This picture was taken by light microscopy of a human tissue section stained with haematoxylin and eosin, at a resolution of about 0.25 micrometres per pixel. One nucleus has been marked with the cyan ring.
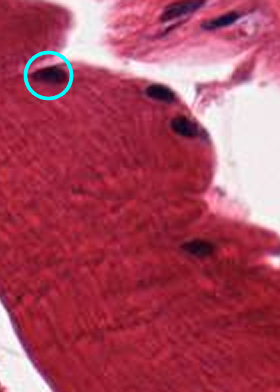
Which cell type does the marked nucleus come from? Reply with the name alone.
skeletal muscle fibre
